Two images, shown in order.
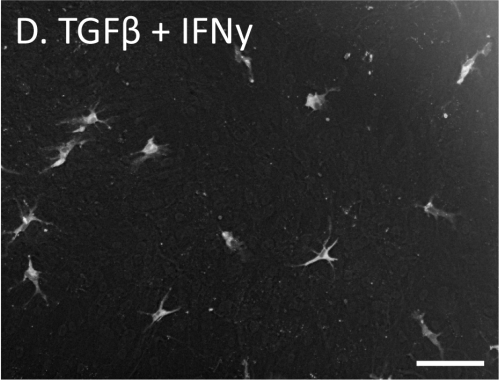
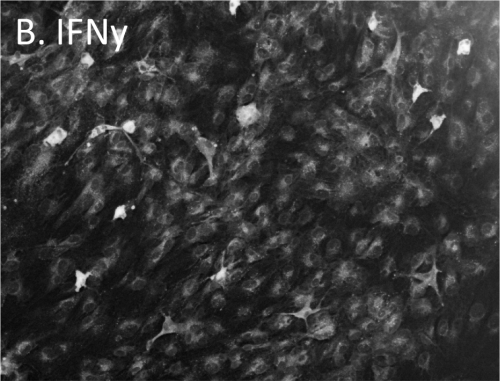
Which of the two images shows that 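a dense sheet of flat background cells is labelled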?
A: The second image.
